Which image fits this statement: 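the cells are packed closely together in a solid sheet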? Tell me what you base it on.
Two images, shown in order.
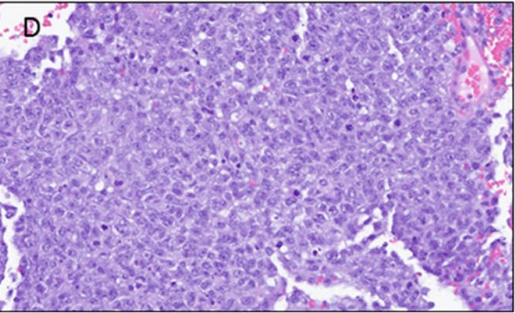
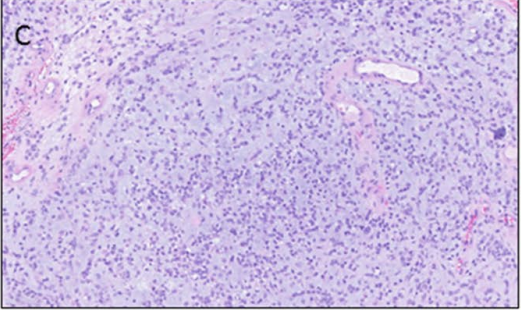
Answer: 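Second image: nuclei are widely spaced in a pale loose background. First image: nuclei are crowded together with little space between cells. That points to this answer: the first image.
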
